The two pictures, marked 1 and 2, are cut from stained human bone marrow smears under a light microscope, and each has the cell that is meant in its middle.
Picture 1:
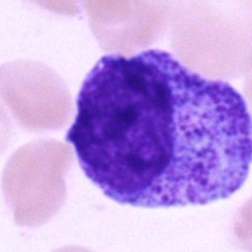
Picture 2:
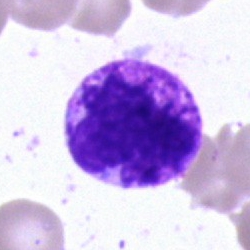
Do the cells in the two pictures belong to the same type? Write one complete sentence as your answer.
No, they differ: the cell is a promyelocyte in picture 1 and a basophil in picture 2.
